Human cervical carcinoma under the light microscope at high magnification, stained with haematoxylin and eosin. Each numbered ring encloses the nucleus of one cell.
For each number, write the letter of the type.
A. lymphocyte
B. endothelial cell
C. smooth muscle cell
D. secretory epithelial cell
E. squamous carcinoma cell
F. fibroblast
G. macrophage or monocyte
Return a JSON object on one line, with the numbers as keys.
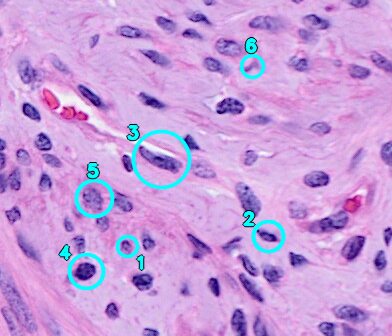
{"1": "C", "2": "F", "3": "B", "4": "A", "5": "C", "6": "C"}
